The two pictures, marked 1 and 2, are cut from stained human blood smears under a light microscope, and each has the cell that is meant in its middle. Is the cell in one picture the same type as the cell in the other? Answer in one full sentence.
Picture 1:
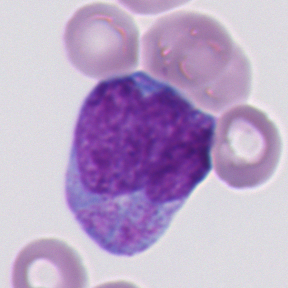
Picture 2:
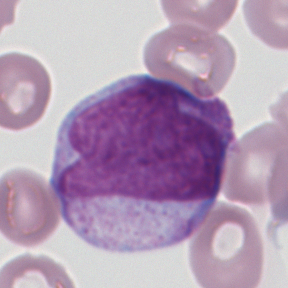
Yes, the two pictures both show atypical promyelocytes.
